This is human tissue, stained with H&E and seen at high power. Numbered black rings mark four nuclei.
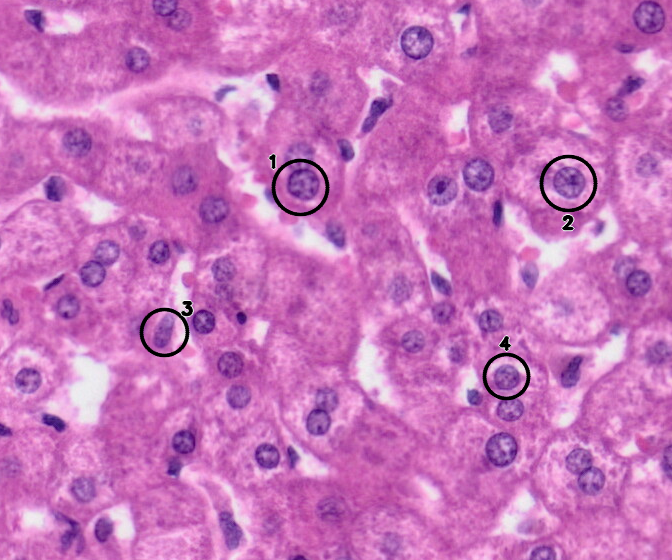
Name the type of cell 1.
hepatocyte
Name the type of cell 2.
hepatocyte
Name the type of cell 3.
Kupffer cell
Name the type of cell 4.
hepatocyte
